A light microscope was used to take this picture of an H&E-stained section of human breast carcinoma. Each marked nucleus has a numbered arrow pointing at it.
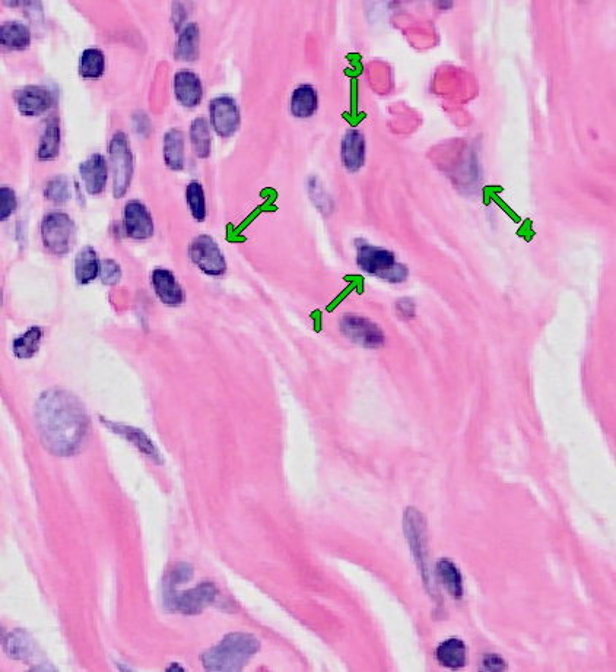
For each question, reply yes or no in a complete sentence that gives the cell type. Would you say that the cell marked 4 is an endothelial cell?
Yes, the marked cell with number 4 is an endothelial cell.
